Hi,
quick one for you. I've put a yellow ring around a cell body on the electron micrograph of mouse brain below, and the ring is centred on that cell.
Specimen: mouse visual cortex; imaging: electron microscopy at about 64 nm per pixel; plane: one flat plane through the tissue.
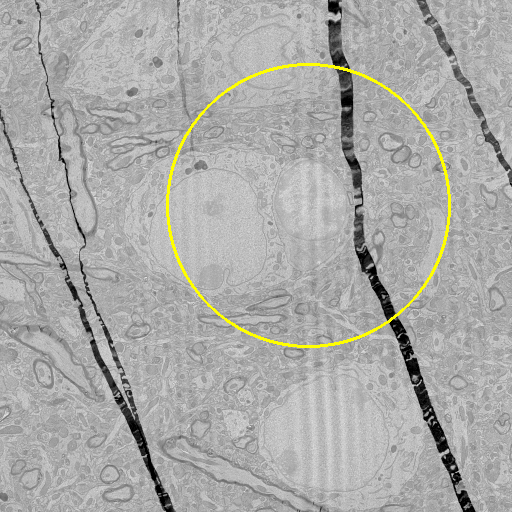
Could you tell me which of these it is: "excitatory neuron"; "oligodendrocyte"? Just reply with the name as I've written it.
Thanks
oligodendrocyte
